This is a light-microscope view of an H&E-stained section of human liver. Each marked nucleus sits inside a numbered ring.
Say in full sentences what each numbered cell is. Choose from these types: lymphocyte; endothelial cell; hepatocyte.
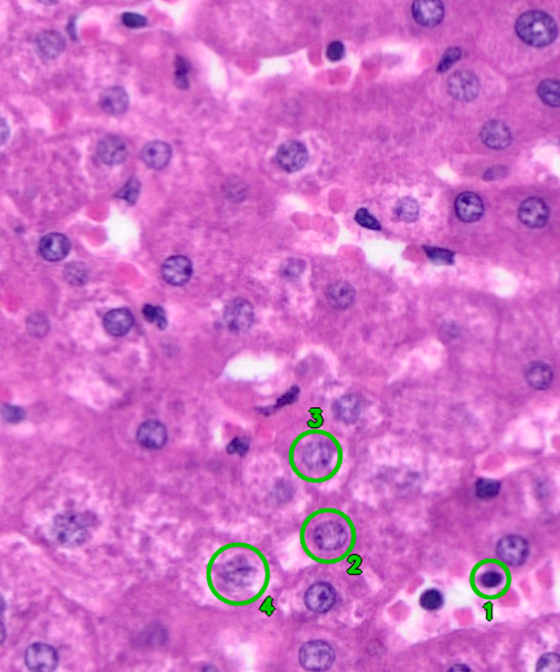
Cell 1 is a lymphocyte. Cells 2, 3 and 4 are hepatocytes.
